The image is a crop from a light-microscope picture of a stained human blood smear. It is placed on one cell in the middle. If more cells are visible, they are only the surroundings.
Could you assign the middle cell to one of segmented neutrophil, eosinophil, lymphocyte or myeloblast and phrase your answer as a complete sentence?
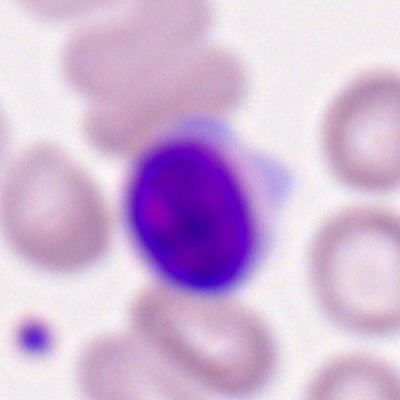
Centred in the crop is a lymphocyte.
